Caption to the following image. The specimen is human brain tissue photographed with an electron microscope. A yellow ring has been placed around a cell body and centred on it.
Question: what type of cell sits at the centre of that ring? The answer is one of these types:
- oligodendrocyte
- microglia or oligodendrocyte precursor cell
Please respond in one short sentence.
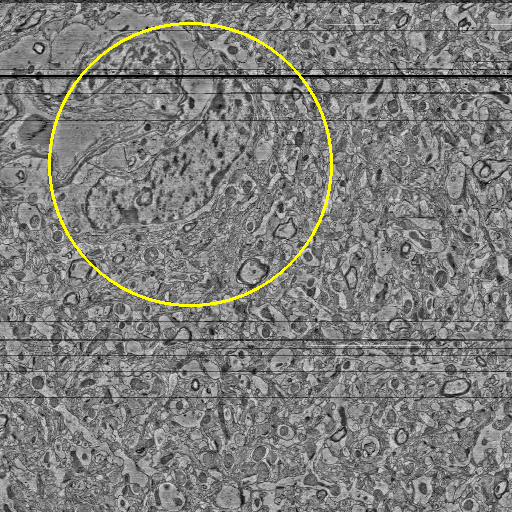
The ring surrounds the cell body of a microglial cell or oligodendrocyte precursor cell.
